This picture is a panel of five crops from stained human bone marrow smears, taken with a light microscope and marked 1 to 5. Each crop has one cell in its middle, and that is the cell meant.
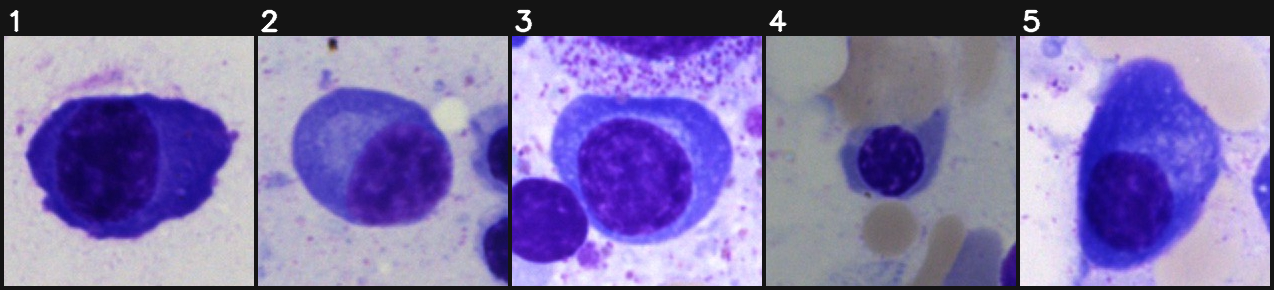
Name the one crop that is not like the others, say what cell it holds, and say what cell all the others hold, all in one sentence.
Crop 4 is the only one that is a normoblast; all the others show plasma cells.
